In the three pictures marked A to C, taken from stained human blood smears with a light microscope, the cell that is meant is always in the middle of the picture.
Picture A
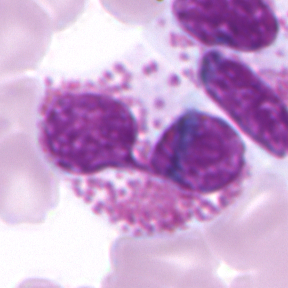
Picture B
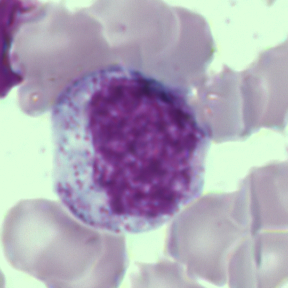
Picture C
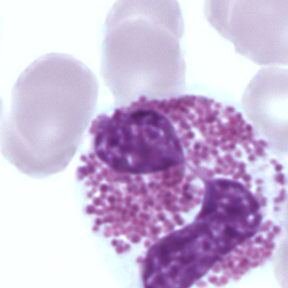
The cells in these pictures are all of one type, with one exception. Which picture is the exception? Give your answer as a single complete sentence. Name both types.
Picture B differs, because its cell is a myelocyte and the rest are eosinophils.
